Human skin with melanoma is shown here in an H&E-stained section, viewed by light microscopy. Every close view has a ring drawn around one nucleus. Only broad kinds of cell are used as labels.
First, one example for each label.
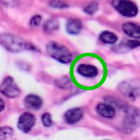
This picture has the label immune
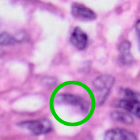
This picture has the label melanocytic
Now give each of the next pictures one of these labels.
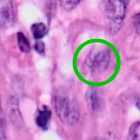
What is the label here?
melanocytic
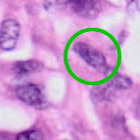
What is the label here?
melanocytic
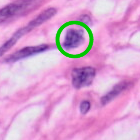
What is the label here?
immune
